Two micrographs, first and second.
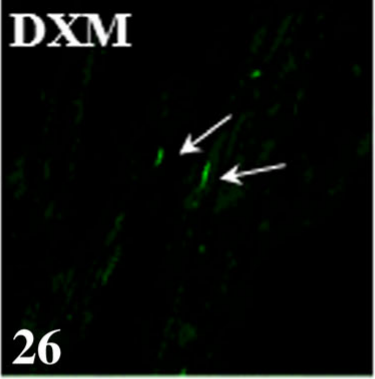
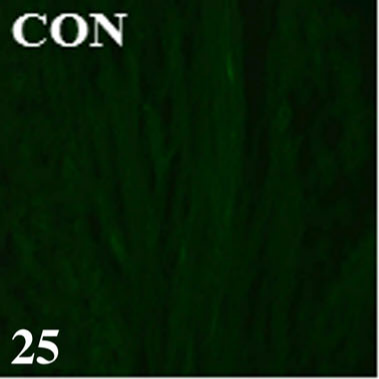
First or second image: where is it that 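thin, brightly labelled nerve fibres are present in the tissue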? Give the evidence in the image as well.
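First image: a few short, bright green thread-like profiles stand out on a dark background. Second image: only a faint, even green background with streaky texture, no bright threads.
Answer: the first image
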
